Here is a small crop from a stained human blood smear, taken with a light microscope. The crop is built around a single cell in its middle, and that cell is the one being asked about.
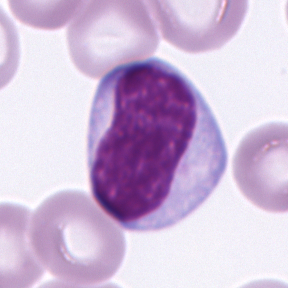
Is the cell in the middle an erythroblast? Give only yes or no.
no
